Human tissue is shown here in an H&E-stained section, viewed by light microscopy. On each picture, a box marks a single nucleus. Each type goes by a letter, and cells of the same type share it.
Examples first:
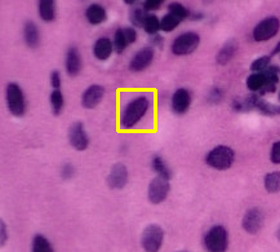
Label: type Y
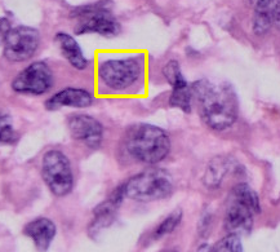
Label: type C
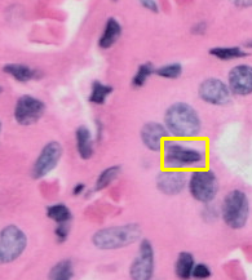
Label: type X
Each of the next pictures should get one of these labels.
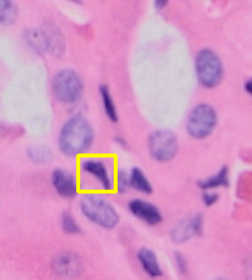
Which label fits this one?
type X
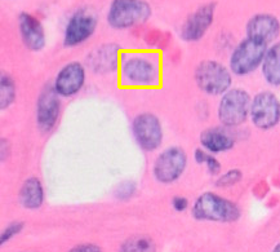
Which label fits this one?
type X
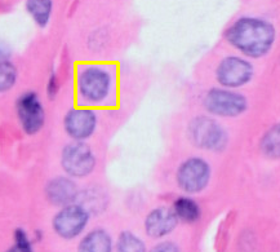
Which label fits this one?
type X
